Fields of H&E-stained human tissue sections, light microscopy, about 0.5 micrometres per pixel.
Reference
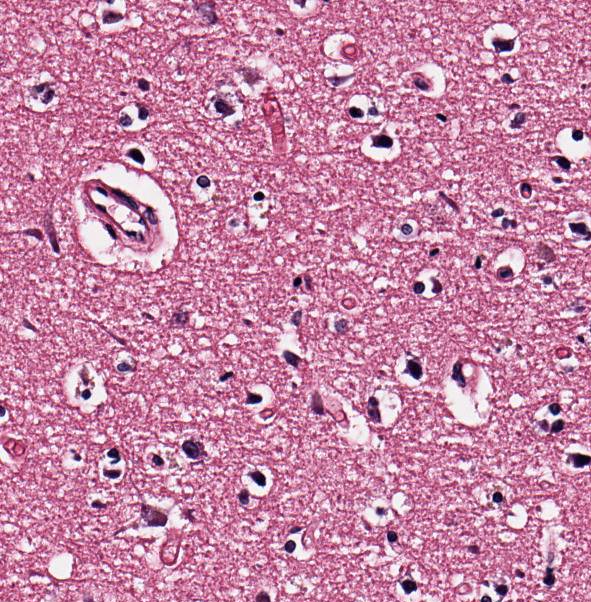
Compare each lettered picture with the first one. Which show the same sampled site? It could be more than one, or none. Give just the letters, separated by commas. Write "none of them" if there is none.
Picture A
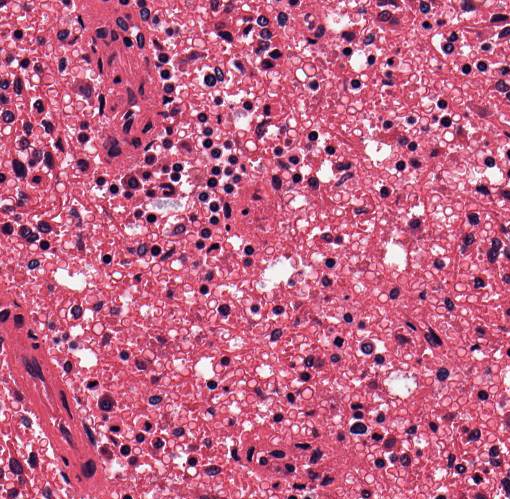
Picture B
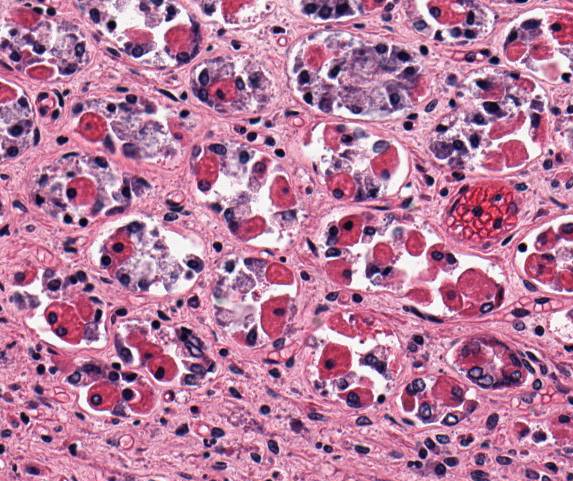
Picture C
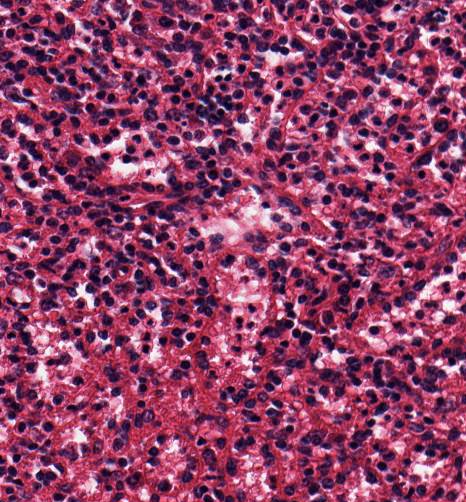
none of them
